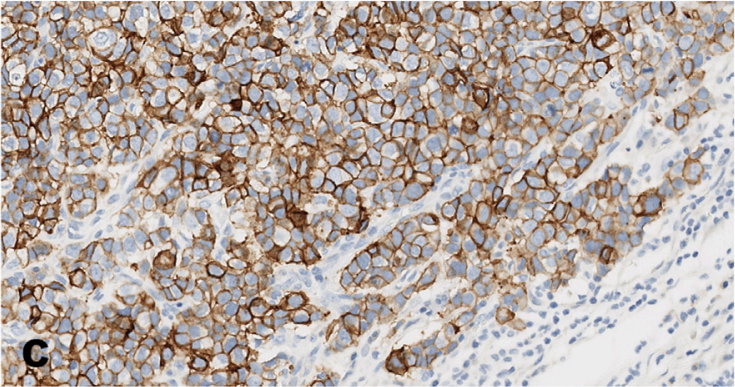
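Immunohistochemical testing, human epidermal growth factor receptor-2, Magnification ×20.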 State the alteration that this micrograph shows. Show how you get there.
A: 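Solid sheets and nests of crowded atypical epithelial cells. Tumor cells lie within and among strands of fibrous stroma. Nuclei are enlarged and vary in size. That points to this answer: invasive carcinoma.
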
